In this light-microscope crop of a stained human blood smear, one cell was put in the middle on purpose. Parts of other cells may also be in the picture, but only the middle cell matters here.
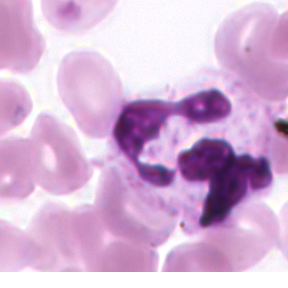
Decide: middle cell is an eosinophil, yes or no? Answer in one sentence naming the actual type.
No, the cell under consideration is a neutrophil instead of an eosinophil.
